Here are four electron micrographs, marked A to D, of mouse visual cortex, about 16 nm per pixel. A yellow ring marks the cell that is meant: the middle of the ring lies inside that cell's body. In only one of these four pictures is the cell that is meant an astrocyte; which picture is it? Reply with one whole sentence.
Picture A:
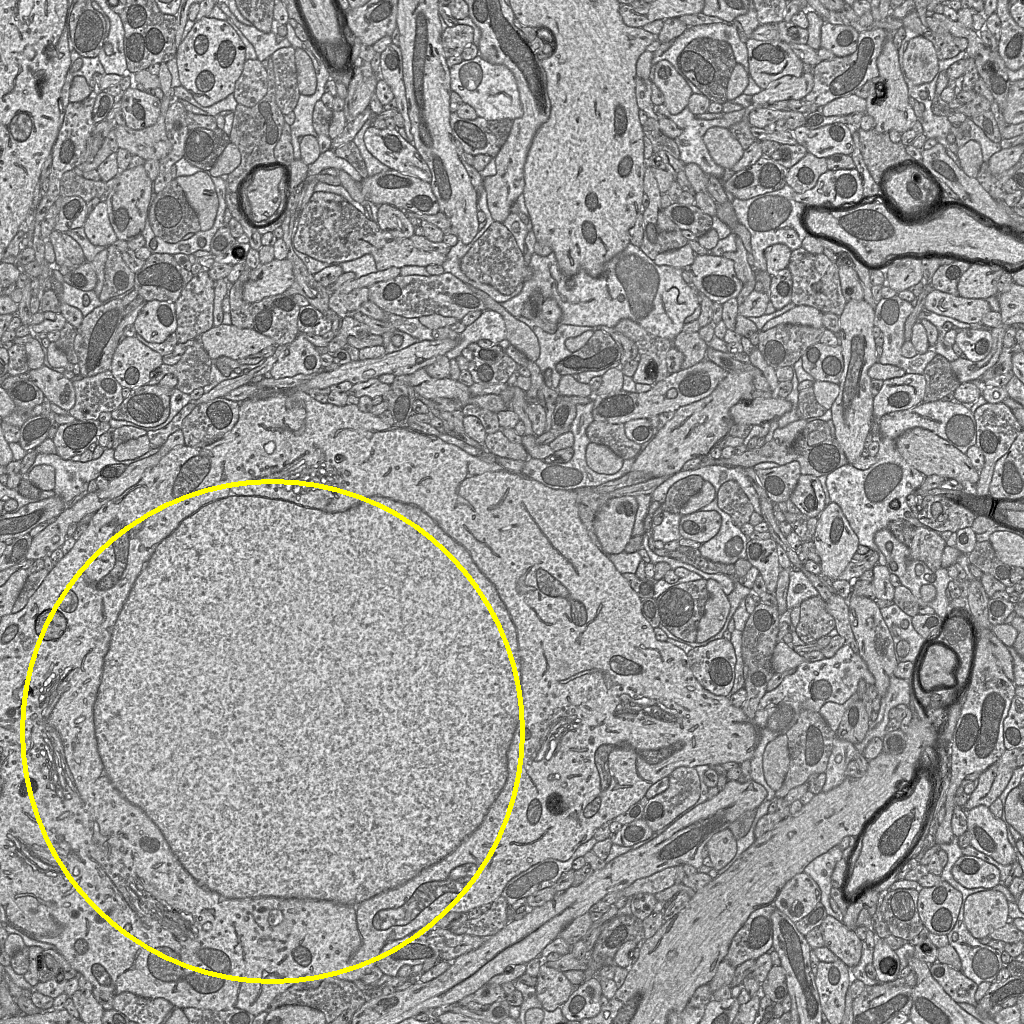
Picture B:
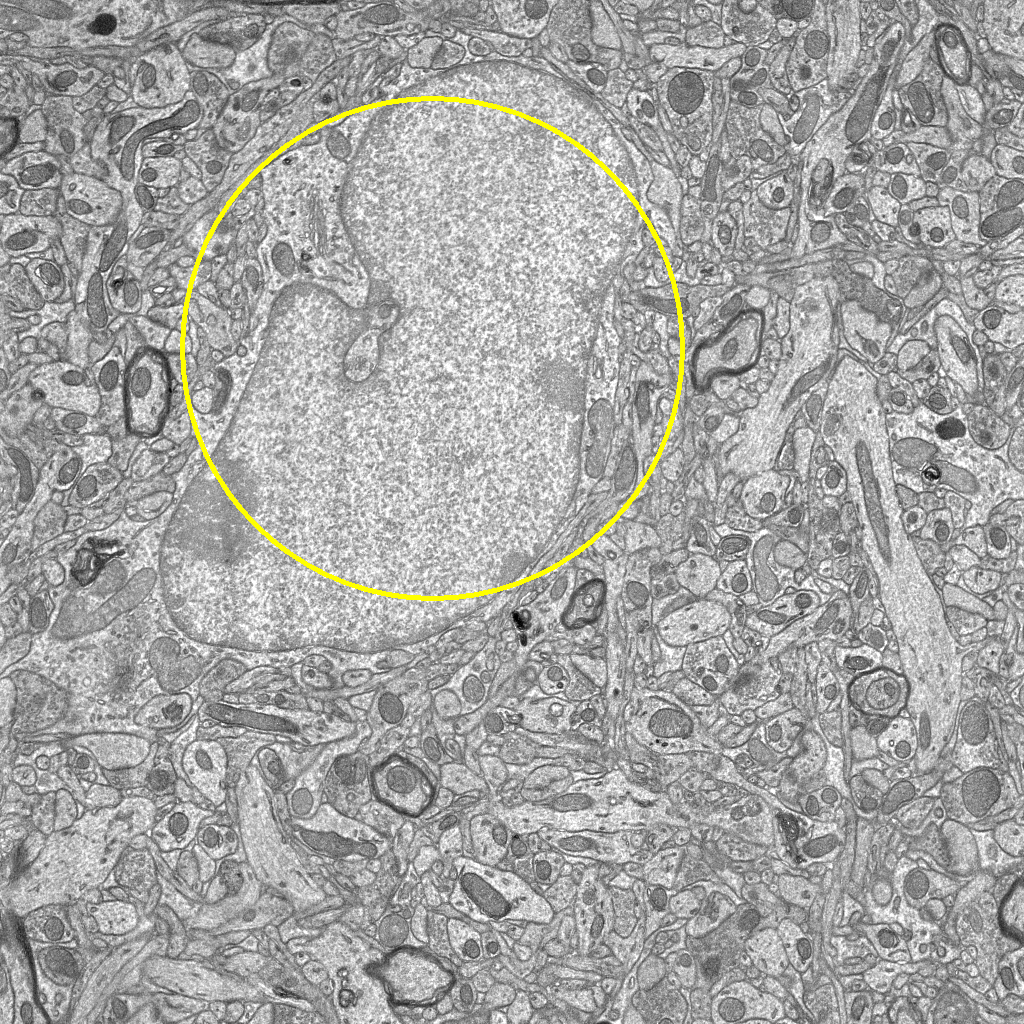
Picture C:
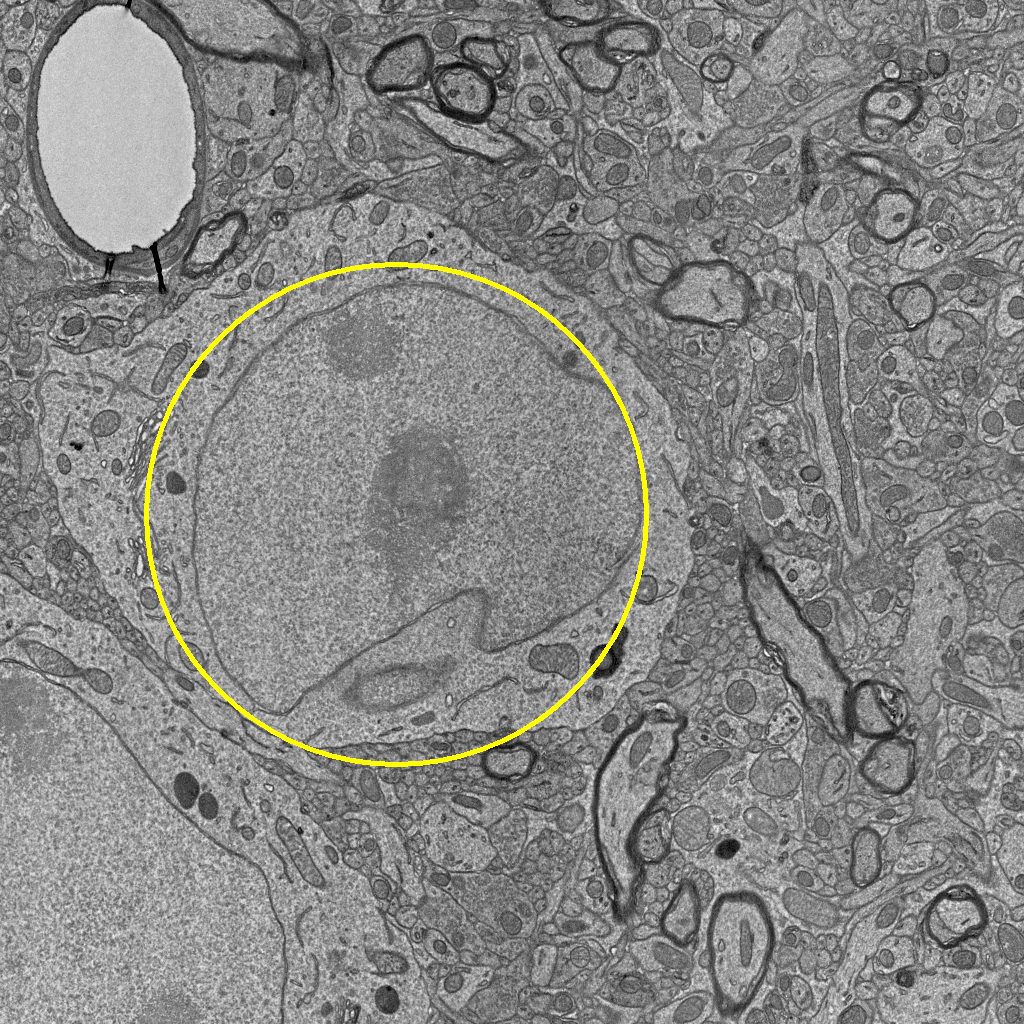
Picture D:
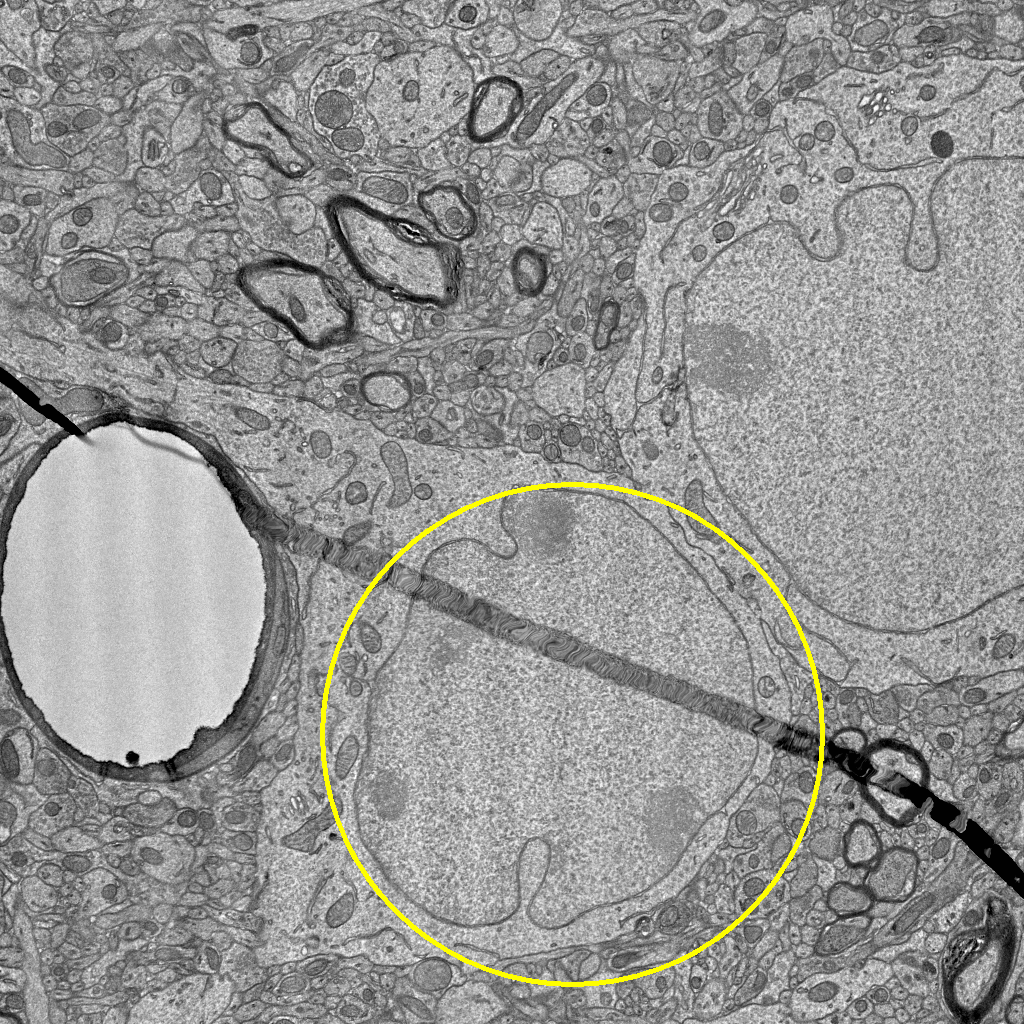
The picture with the astrocyte is B.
